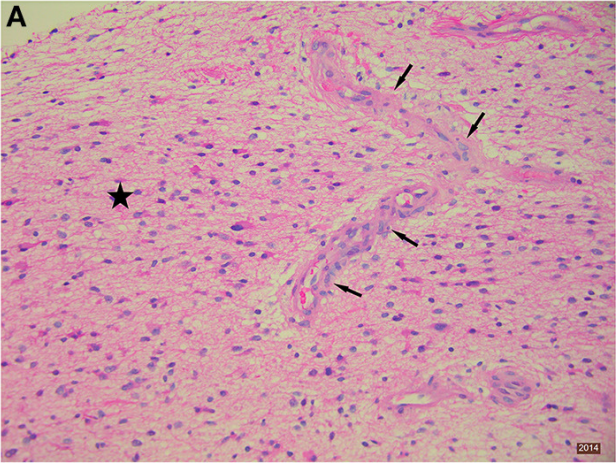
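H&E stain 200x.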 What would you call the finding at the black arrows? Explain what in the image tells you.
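The arrows point to thick-walled vessels lined by several layers of plump cells. The vessel walls are pink and crowded with nuclei.
Microvascular proliferation.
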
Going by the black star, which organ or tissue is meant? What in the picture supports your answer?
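Diffusely-infiltrating astrocytic tumor. Elongated, dark, irregular nuclei are scattered evenly through a pink fibrillary background. No sharp border or organised pattern is seen in the cell spread.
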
